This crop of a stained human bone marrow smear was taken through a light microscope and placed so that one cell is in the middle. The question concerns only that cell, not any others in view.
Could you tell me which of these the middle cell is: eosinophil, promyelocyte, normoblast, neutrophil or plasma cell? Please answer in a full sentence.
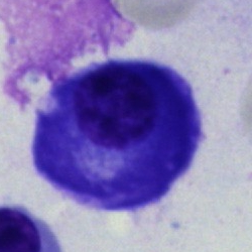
The cell that lies at the centre of the crop is a plasma cell.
